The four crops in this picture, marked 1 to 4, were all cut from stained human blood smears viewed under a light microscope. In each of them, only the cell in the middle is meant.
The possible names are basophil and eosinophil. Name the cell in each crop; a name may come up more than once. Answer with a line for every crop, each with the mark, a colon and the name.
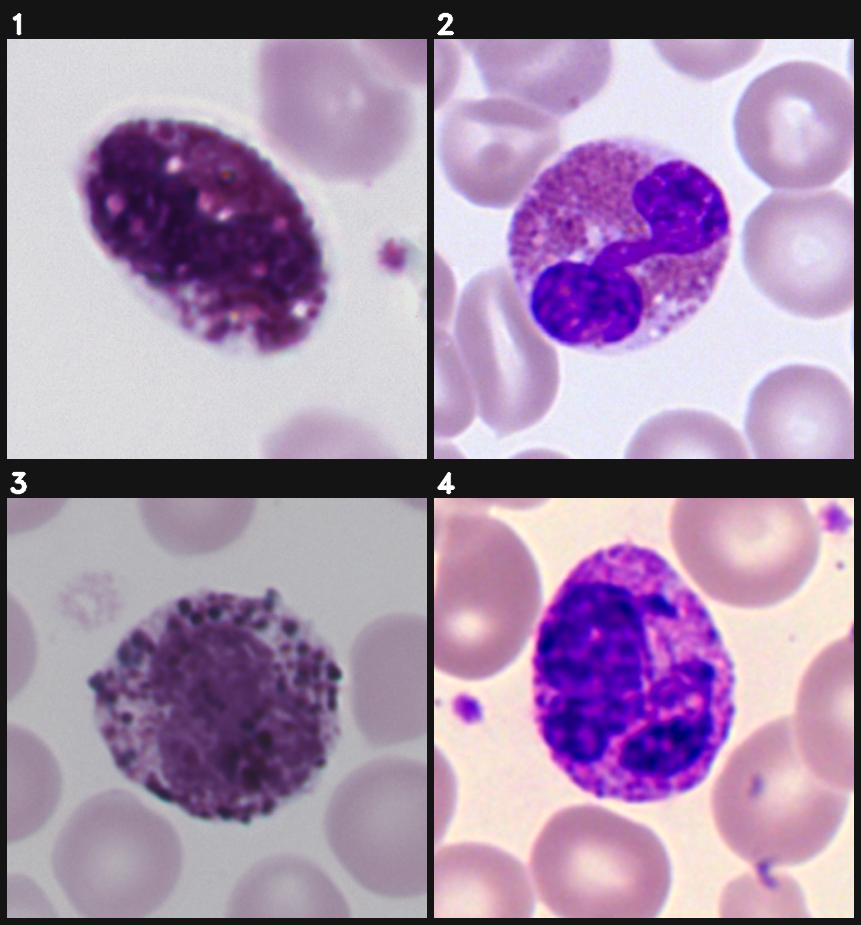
1: eosinophil
2: eosinophil
3: basophil
4: basophil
